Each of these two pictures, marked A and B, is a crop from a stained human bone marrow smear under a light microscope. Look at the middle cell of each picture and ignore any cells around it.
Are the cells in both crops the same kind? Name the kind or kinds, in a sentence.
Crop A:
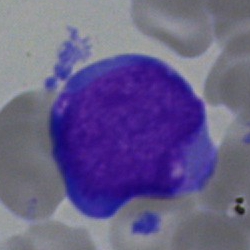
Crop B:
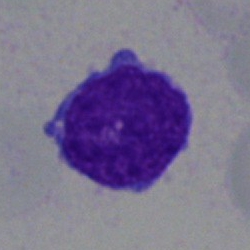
Yes, both crops show blasts at their middles.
